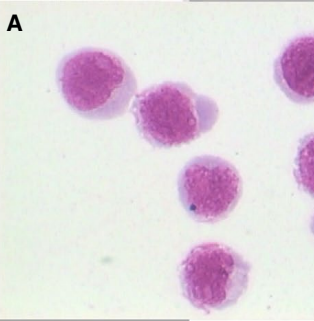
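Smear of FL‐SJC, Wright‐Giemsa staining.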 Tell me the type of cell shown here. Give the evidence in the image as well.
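Round, medium-sized single cells lying separately. Large round purple nuclei with fine chromatin fill most of each cell. Only a thin rim of pale bluish cytoplasm.
Lymphoblast cells.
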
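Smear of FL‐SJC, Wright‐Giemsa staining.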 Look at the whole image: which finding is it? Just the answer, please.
high ratio of nuclear to cytoplasm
